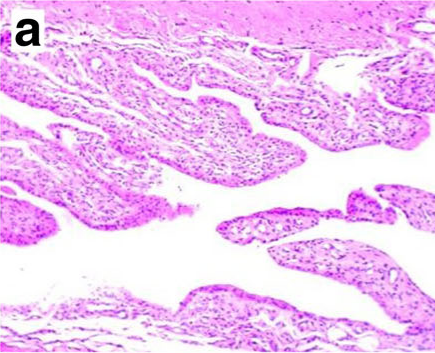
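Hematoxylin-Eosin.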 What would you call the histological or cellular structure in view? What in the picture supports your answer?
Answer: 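Many finger-like and leaf-like fronds of tissue project into open spaces. The fronds are covered by a lining of cells and have a cellular core.
Conclusion: Villous and nodular configuration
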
